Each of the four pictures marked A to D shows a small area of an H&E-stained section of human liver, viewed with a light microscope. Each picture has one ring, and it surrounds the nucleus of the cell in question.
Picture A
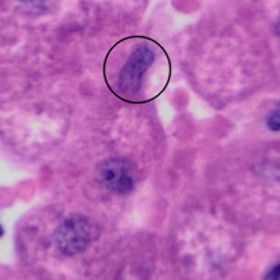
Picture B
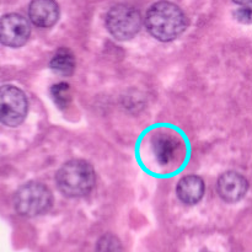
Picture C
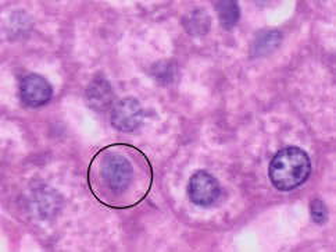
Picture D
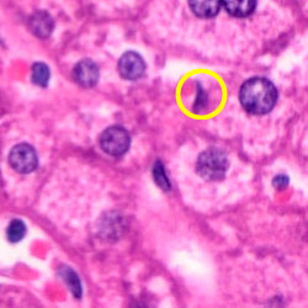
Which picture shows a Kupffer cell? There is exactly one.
A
